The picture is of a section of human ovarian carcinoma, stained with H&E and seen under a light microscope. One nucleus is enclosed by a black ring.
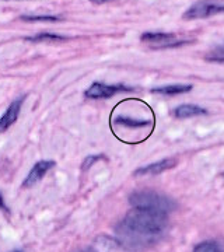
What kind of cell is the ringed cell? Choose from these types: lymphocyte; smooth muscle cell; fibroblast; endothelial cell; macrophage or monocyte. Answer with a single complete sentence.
What the ringed cell represents is a fibroblast.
